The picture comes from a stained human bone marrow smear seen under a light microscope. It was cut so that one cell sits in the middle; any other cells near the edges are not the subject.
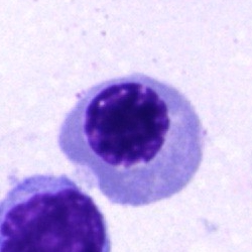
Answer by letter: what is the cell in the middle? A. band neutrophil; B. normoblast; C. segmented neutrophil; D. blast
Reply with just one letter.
B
